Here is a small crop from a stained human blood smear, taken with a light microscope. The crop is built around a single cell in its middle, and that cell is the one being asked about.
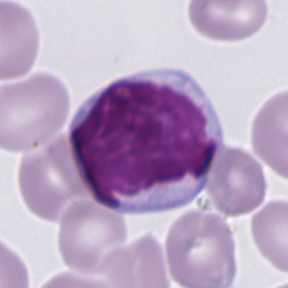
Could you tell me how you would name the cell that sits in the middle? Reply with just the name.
large granular lymphocyte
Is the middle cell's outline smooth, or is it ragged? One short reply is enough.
The edge of the cell is unbroken and smooth, bearing no projections.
